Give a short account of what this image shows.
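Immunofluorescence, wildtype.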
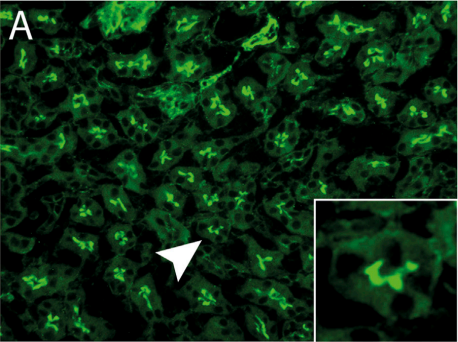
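This is kidney cortex packed with cross-sectioned proximal tubules, each a ring of epithelial cells around a narrow lumen. The lumina are marked by bright green, irregular, branched or star-like lines that correspond to the brush border membrane. The cytoplasm of the tubule cells is only weakly green, and their round nuclei appear as dark holes within it. Thin dark interstitial spaces separate the closely packed tubules. The tubules are of rather uniform size and none is markedly dilated.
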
